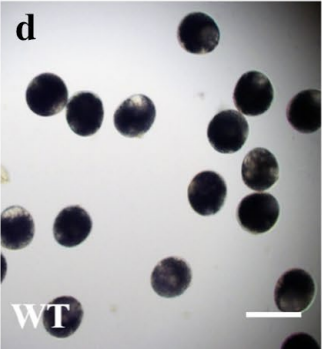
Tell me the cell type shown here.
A: pollen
